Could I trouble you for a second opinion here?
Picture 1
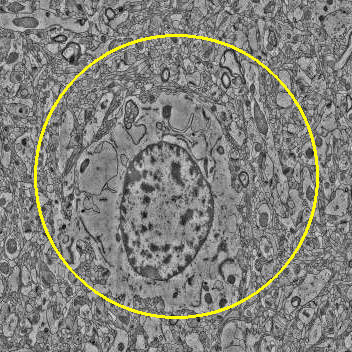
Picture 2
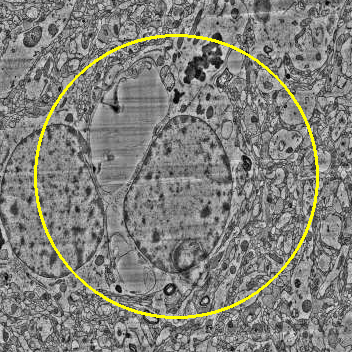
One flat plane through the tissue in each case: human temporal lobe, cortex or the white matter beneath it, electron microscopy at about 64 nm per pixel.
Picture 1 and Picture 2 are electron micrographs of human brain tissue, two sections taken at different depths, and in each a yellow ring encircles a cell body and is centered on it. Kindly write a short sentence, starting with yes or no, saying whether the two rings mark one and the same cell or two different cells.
No, the two rings refer to two distinct cells.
